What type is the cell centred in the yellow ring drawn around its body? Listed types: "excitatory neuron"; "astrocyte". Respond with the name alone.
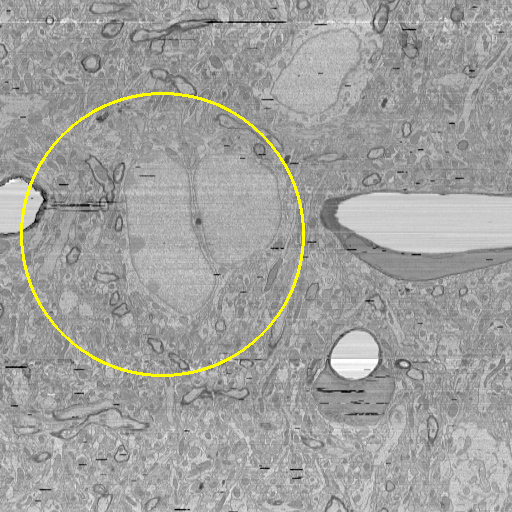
astrocyte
